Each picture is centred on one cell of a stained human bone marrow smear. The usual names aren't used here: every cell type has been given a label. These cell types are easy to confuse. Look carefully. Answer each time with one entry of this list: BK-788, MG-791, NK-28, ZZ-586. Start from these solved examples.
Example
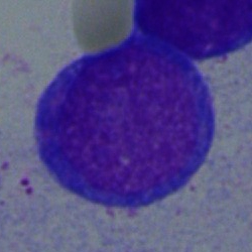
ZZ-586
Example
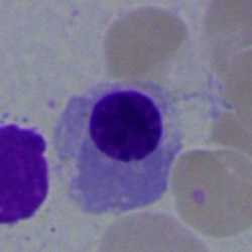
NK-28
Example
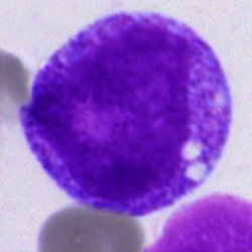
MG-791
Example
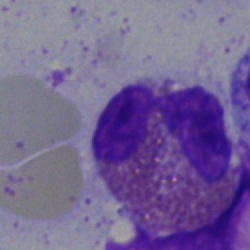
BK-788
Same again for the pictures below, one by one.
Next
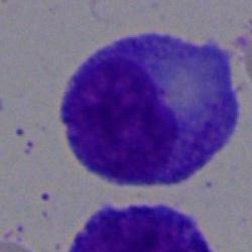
MG-791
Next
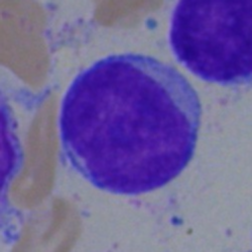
ZZ-586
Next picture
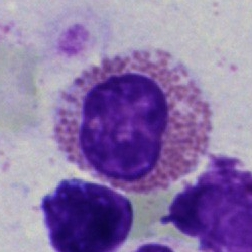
BK-788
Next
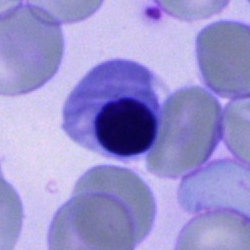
NK-28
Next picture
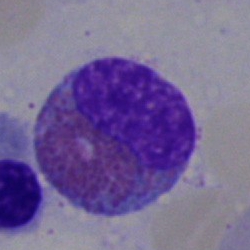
BK-788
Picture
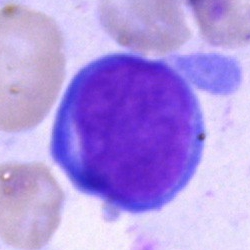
ZZ-586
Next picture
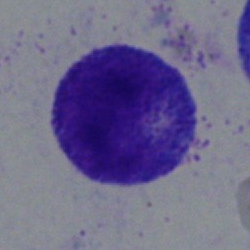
MG-791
